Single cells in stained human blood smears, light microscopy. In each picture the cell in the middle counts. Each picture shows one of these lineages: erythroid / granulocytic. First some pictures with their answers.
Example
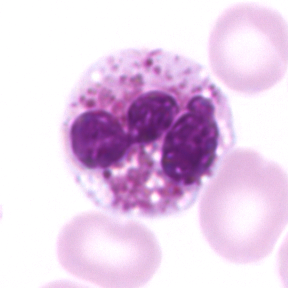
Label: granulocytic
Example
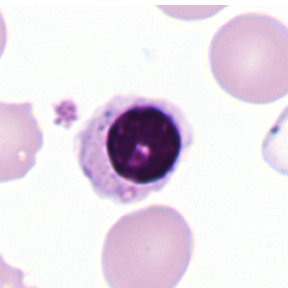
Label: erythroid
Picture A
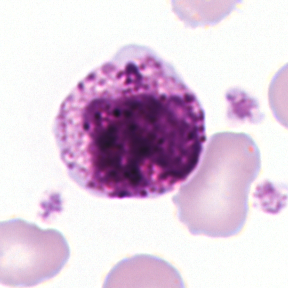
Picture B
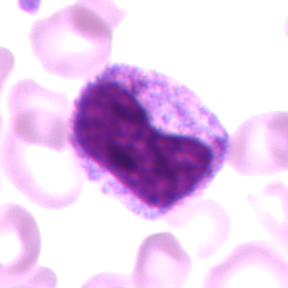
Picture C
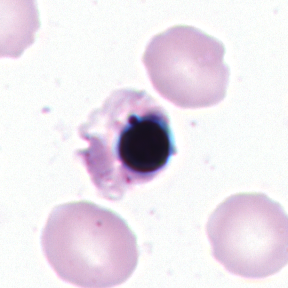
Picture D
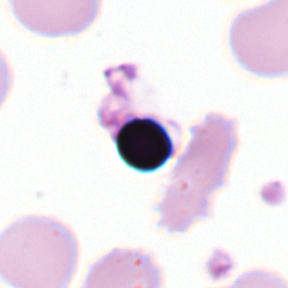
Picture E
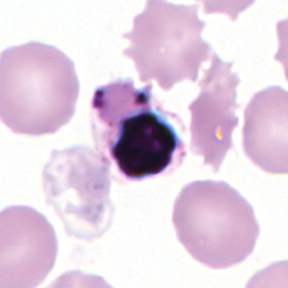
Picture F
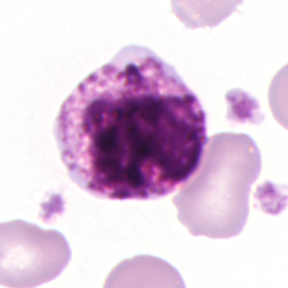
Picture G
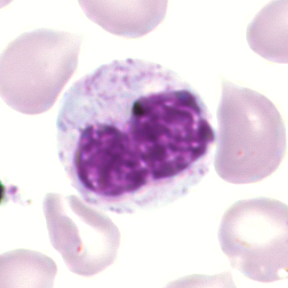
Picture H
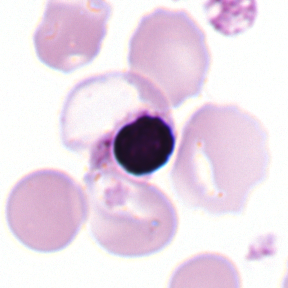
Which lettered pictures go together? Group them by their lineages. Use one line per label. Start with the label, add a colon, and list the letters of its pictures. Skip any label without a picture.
erythroid: C, D, E, H
granulocytic: A, B, F, G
